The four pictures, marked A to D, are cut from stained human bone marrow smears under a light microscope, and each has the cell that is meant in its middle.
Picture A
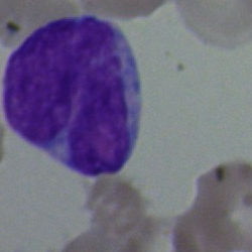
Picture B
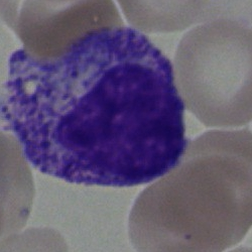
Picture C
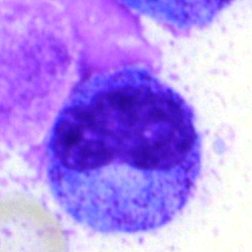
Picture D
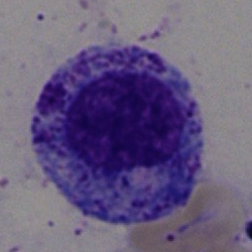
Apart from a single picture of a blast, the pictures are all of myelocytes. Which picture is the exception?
A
